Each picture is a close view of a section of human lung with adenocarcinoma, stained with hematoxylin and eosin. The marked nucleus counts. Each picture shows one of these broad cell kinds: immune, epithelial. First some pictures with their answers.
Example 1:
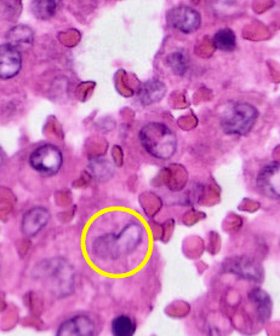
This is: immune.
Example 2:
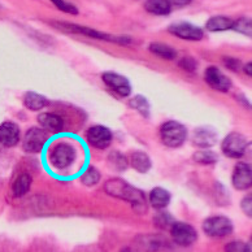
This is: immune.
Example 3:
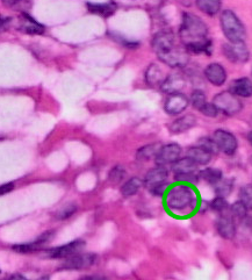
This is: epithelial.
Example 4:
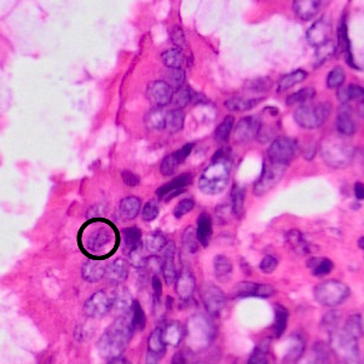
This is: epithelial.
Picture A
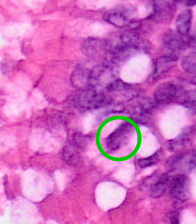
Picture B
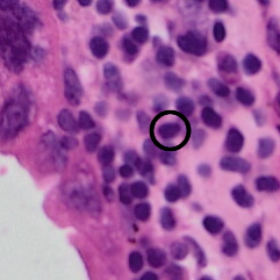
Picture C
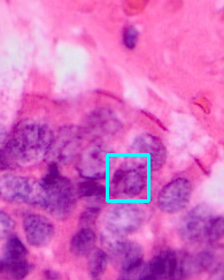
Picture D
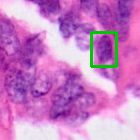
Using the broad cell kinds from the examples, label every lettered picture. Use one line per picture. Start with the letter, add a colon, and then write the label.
A: epithelial.
B: immune.
C: epithelial.
D: epithelial.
